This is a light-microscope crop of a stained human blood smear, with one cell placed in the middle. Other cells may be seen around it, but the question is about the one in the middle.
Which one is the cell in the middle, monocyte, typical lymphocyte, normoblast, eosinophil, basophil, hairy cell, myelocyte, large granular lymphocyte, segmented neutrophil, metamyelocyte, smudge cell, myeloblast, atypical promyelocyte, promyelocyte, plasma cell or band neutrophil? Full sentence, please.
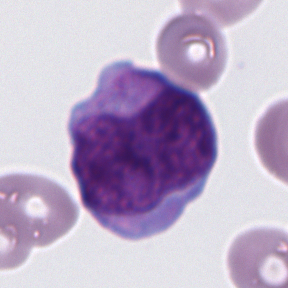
This crop is built around an atypical promyelocyte at its centre.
